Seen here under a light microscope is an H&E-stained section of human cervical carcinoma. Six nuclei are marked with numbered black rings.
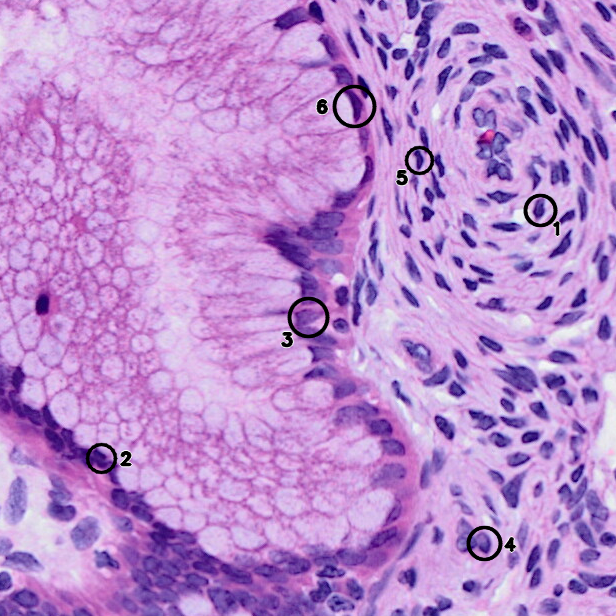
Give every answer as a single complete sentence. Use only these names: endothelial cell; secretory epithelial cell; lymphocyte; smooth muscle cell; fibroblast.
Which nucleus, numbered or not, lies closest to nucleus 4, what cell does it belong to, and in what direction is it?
The nearest nucleus is that of an endothelial cell and lies to the left of nucleus 4.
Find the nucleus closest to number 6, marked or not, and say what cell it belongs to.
The nucleus nearest to number 6 is that of a lymphocyte.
